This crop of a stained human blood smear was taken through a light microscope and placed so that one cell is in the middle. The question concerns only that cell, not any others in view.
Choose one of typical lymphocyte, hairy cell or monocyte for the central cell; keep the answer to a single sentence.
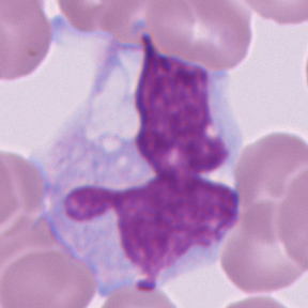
In the middle of this smear crop, the cell is a monocyte.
